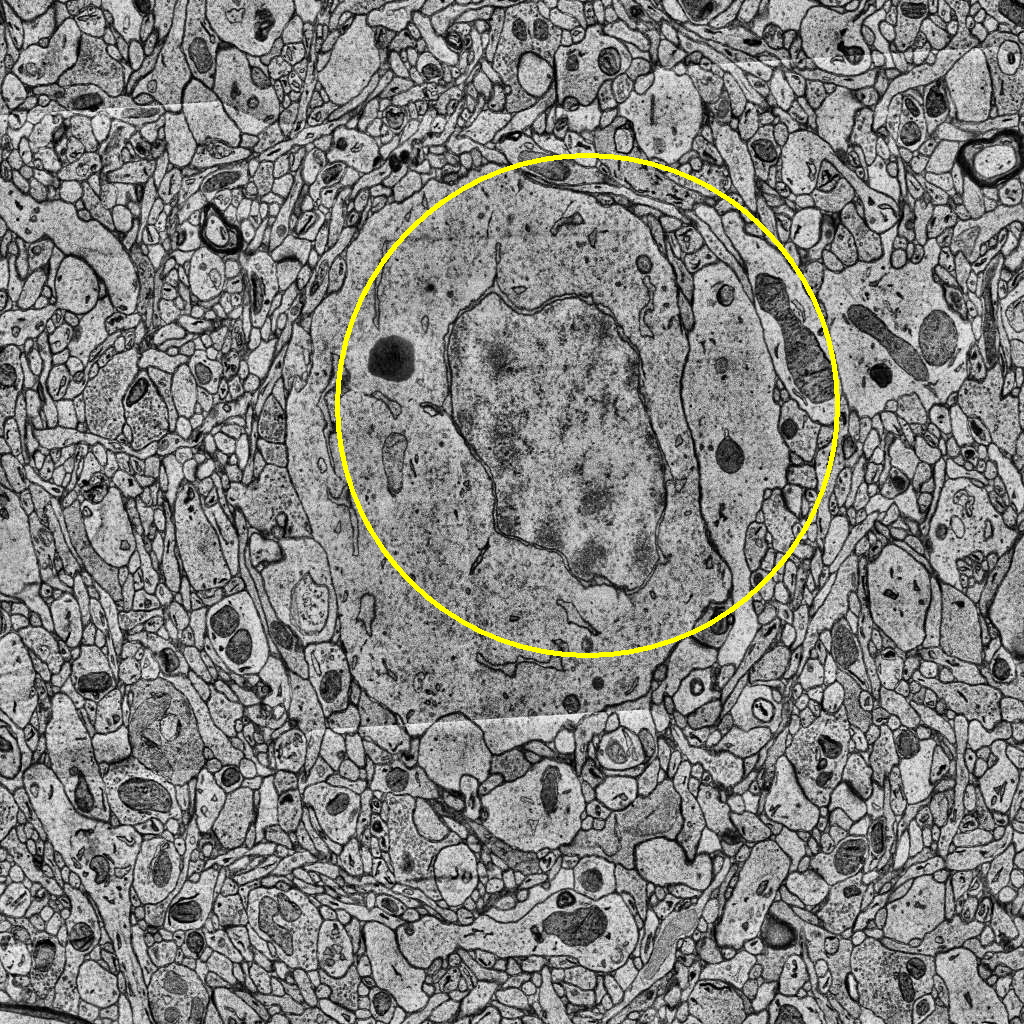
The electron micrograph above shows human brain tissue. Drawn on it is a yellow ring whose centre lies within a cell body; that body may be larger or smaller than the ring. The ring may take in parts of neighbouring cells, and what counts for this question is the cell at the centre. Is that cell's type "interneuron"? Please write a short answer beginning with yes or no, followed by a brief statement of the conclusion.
Yes, its type is the one named.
